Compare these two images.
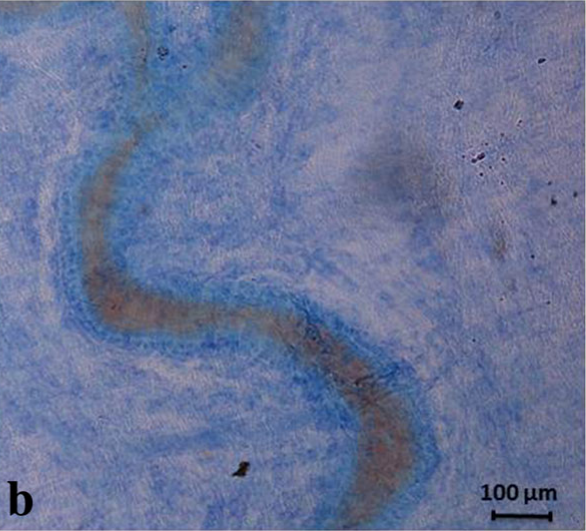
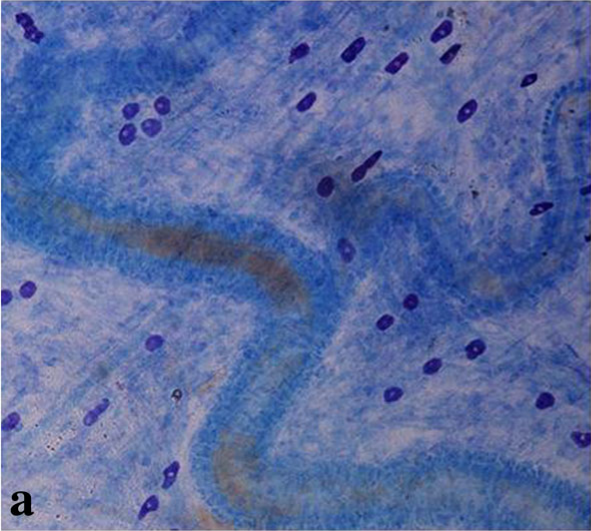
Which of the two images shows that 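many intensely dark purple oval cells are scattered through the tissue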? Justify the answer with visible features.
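First image: no dark purple oval cells are seen, only pale blue tissue, a wavy band and a few tiny dark specks. Second image: dozens of dark purple-violet oval cells with smooth outlines lie scattered across the tissue. That points to this answer: the second image.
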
